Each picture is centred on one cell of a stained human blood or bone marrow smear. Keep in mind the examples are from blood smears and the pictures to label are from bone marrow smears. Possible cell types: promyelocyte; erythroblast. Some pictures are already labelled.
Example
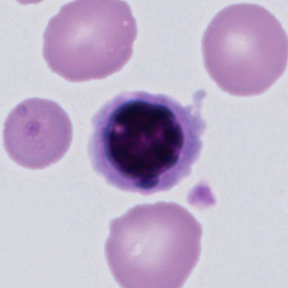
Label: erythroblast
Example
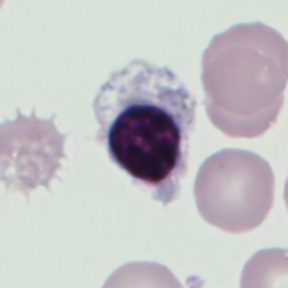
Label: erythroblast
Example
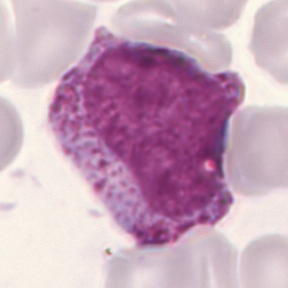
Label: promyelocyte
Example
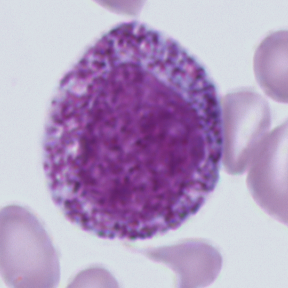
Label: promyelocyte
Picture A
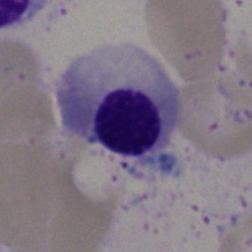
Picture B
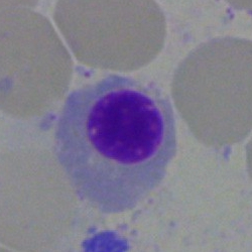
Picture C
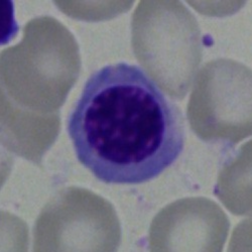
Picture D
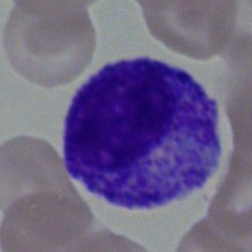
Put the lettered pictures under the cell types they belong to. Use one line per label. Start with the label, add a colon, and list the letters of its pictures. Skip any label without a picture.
promyelocyte: D
erythroblast: A, B, C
